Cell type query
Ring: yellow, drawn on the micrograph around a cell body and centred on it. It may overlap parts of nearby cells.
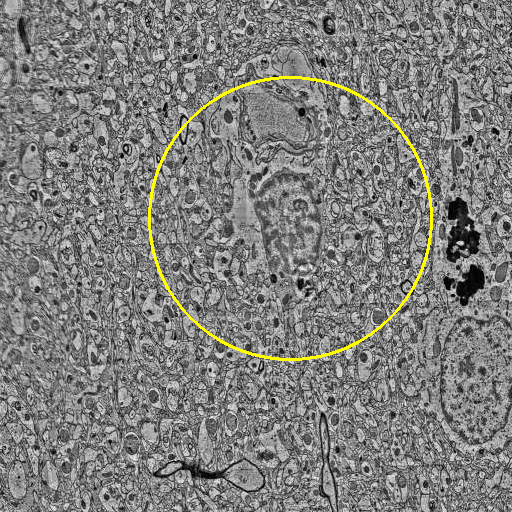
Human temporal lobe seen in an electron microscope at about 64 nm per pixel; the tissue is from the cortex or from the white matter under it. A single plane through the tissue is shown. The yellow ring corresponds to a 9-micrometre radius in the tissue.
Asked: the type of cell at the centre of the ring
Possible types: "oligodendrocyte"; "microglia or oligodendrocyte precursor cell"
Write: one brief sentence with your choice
The ring marks an oligodendrocyte.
